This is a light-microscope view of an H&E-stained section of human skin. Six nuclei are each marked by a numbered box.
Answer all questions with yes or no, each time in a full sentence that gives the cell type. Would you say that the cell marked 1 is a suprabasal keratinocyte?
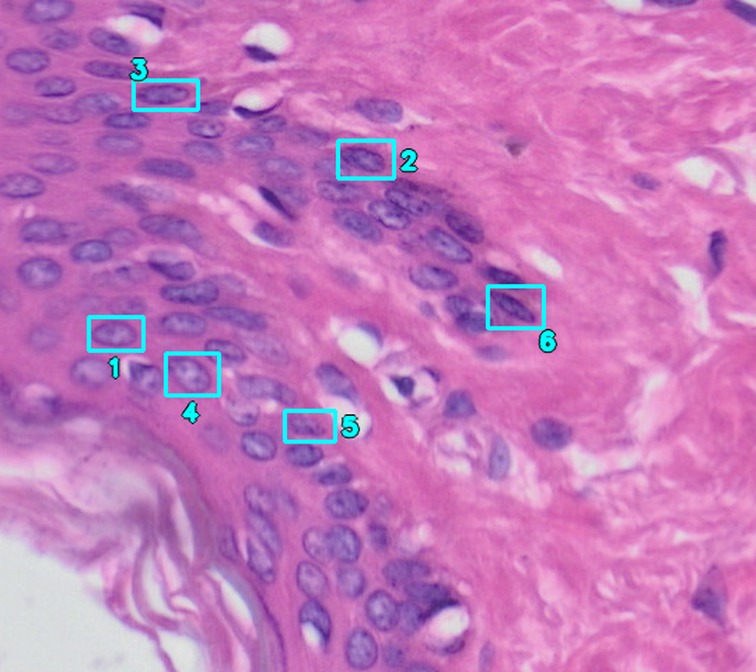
Yes, the cell with its nucleus marked 1 is a suprabasal keratinocyte.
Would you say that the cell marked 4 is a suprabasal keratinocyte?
Yes, cell number 4 is identified here as a suprabasal keratinocyte.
